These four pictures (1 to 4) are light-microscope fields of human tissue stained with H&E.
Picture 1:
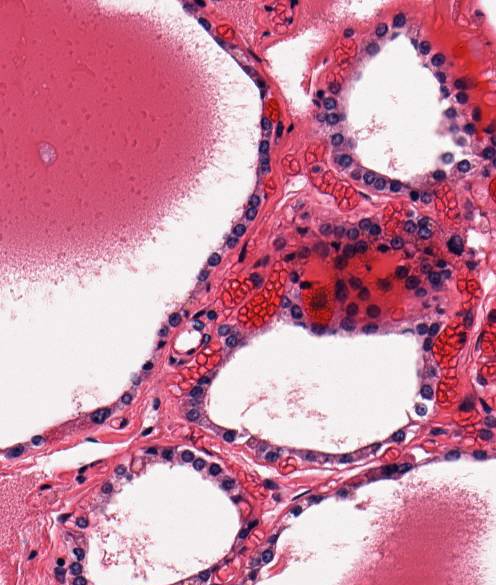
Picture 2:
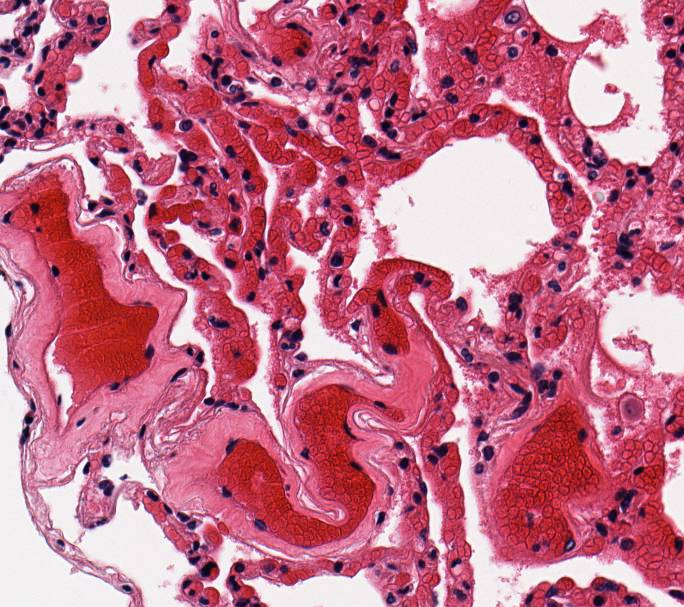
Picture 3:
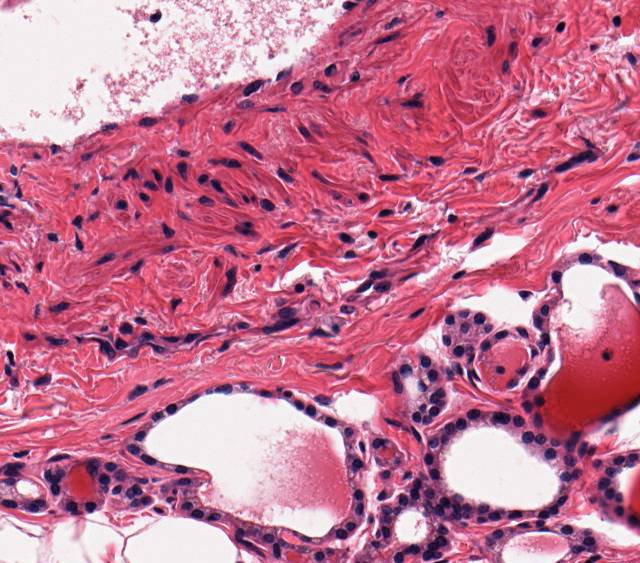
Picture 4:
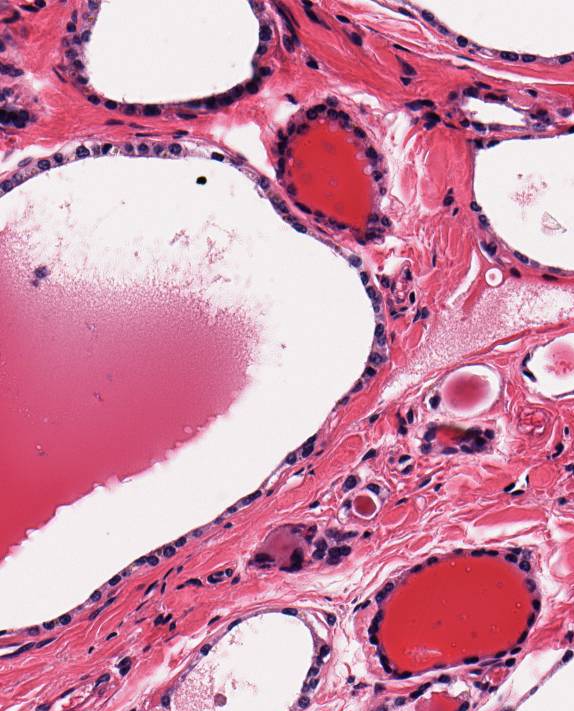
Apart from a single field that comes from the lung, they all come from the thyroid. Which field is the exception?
2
